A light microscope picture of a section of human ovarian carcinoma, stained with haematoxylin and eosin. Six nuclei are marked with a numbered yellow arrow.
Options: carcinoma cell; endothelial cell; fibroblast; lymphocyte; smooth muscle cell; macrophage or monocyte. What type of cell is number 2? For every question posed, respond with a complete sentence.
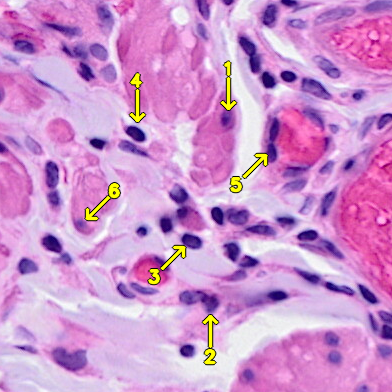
The nucleus labeled 2 belongs to a lymphocyte.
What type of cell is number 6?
Identified as a smooth muscle cell is the cell bearing the number 6.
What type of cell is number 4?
The cell marked with the number 4 is a lymphocyte.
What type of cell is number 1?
The mark numbered 1 indicates the nucleus of a smooth muscle cell.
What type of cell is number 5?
As for number 5, that cell is an endothelial cell.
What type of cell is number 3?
The nucleus with number 3 is that of a lymphocyte.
